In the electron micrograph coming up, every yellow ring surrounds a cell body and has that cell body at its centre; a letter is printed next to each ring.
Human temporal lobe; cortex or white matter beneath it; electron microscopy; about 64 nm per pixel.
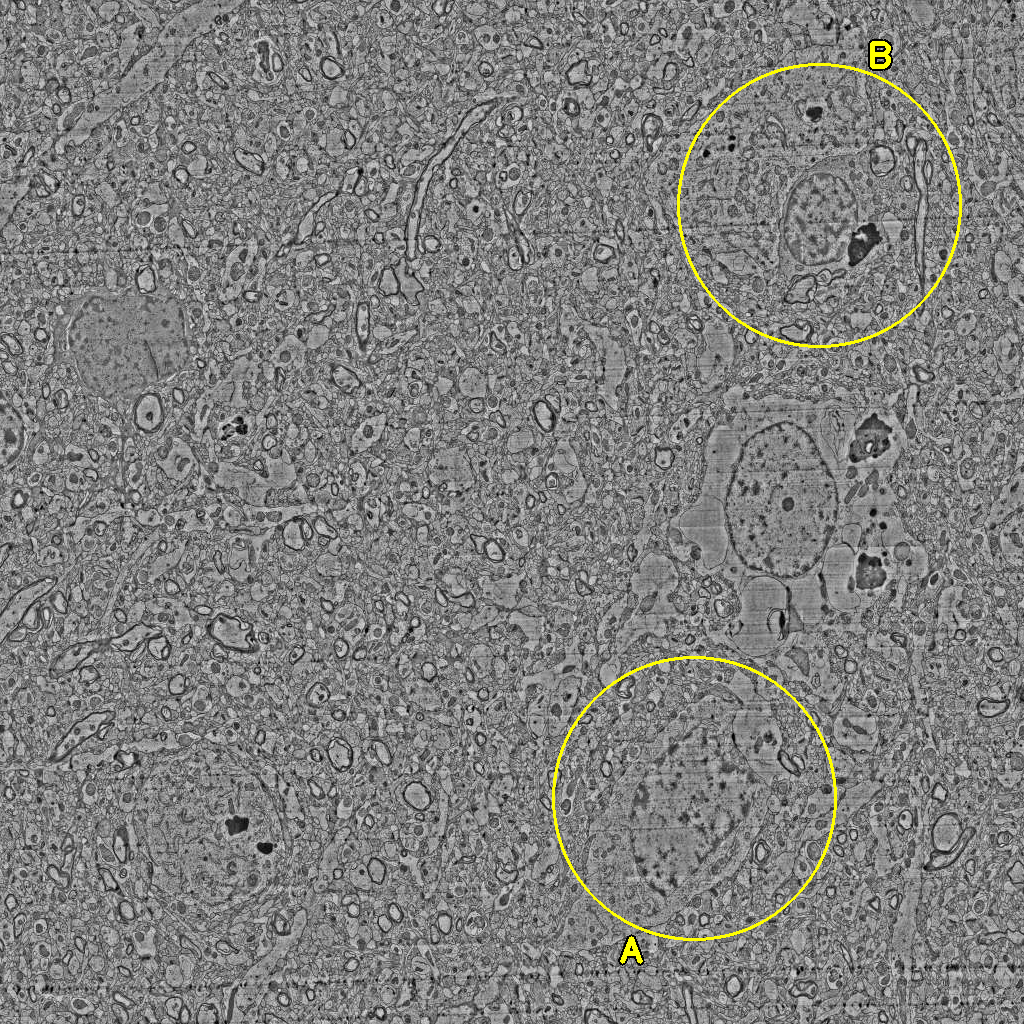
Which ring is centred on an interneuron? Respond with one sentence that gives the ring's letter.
Ring A is the one whose centre sits on the cell asked for in the picture.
